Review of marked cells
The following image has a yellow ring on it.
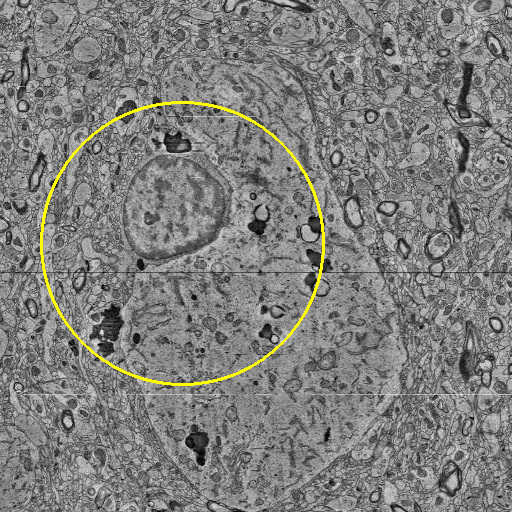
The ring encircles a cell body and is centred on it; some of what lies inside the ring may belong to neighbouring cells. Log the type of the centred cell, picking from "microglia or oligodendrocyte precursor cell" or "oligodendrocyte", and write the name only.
oligodendrocyte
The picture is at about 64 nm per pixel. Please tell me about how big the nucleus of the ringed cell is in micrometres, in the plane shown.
The nucleus comes to roughly 7 micrometres across in this plane.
